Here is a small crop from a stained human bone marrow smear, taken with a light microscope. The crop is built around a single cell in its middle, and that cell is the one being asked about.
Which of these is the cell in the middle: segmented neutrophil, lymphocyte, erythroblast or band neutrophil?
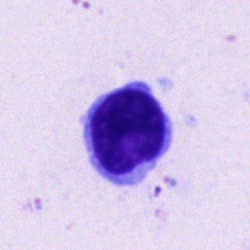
lymphocyte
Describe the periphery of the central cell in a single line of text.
Rather than running smoothly, the cell border is ragged or carries projections.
